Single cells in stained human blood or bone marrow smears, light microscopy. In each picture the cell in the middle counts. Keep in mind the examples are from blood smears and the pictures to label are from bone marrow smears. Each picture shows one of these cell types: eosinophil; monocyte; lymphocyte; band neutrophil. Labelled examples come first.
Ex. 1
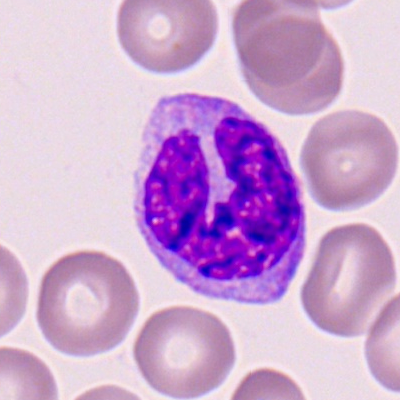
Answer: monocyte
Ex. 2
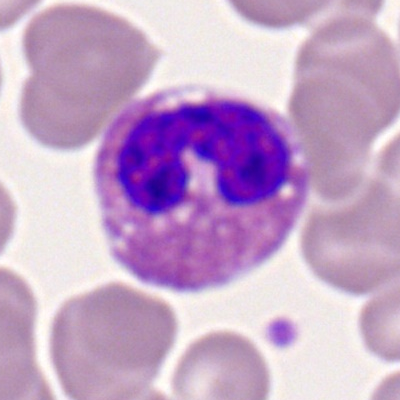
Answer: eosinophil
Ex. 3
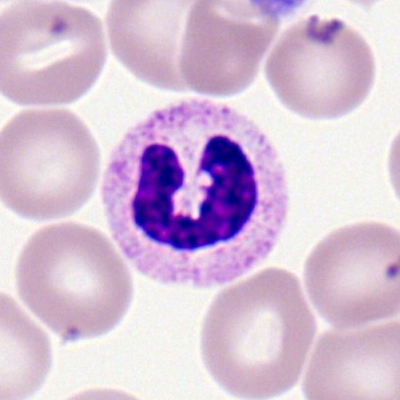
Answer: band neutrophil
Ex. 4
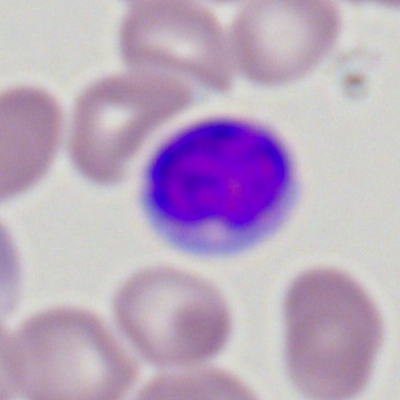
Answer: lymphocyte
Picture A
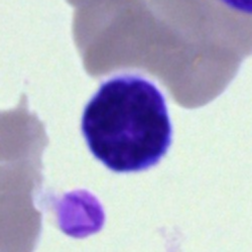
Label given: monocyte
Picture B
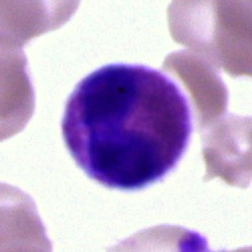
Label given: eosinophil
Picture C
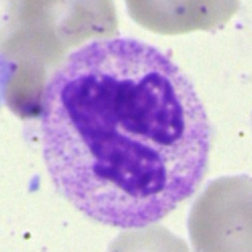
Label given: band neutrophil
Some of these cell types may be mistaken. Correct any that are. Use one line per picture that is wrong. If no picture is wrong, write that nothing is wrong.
A is labelled monocyte; correct label: lymphocyte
